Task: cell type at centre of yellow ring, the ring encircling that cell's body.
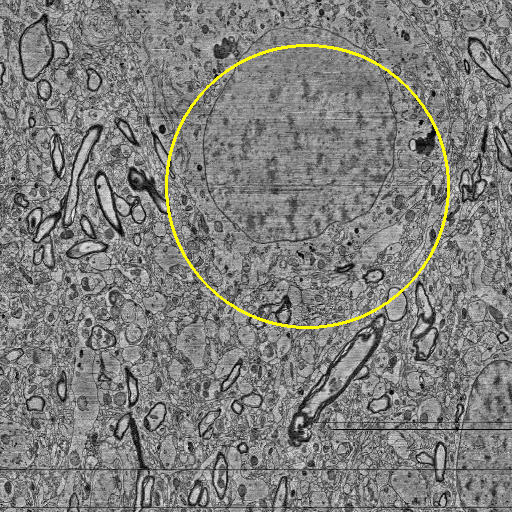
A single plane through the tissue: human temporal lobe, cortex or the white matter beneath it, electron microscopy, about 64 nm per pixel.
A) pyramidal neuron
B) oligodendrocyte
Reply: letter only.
A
